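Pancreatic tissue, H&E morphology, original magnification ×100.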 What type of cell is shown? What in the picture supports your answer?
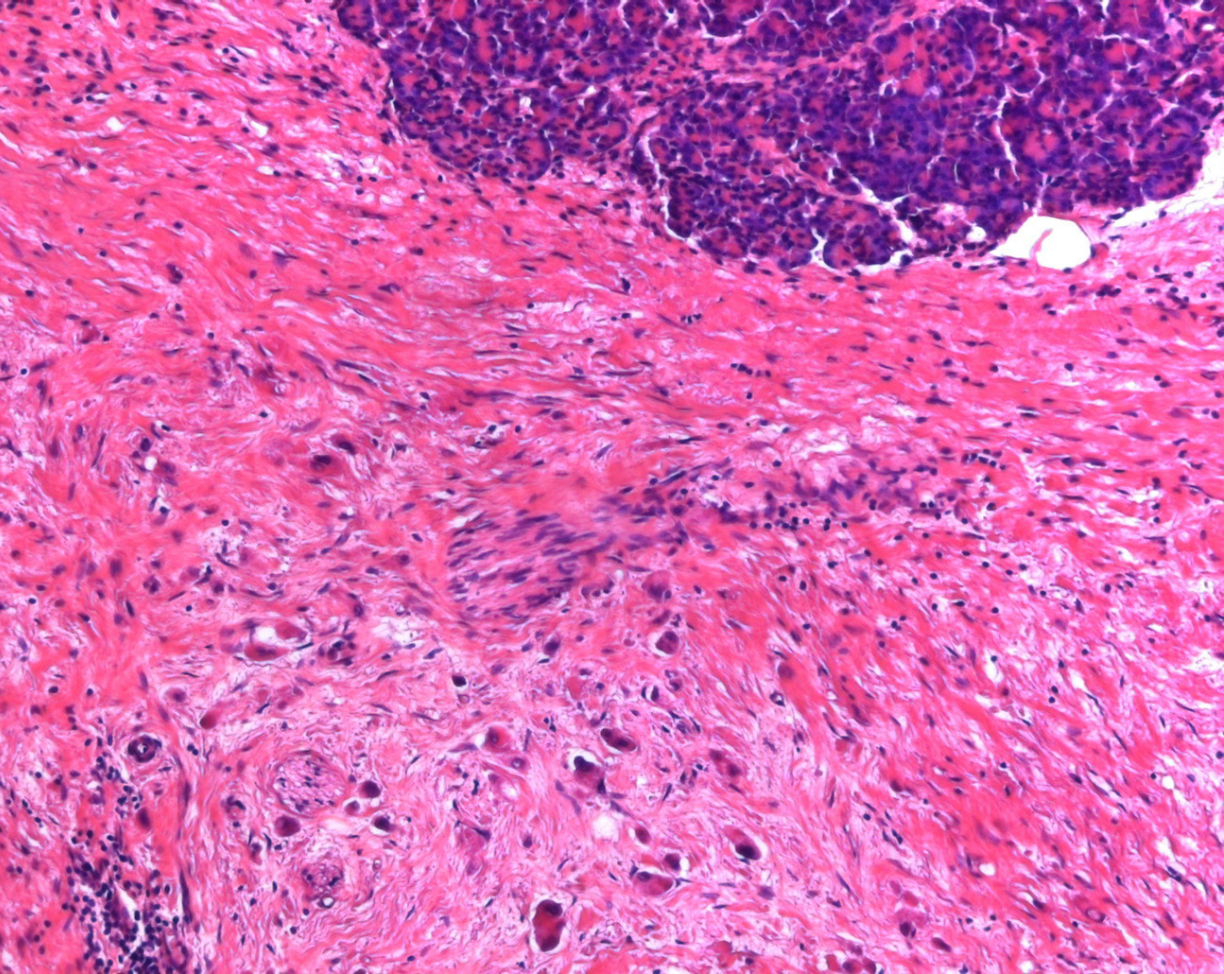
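Scattered irregularly shaped large tumor cells. In the lower half, large single cells with abundant eosinophilic cytoplasm lie scattered in the fibrous stroma. These cells are irregular in shape and much larger than the surrounding stromal cells.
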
